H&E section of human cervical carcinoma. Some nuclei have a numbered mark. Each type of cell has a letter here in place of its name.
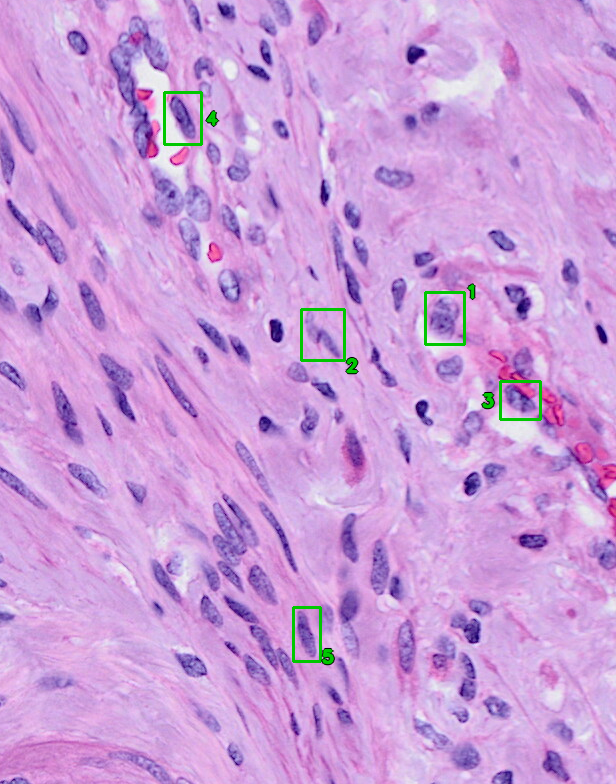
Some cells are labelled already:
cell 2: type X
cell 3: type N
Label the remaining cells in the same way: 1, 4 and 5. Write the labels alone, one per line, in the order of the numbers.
type N
type N
type X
